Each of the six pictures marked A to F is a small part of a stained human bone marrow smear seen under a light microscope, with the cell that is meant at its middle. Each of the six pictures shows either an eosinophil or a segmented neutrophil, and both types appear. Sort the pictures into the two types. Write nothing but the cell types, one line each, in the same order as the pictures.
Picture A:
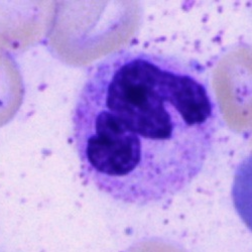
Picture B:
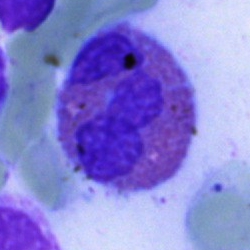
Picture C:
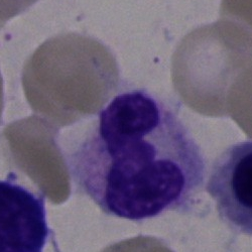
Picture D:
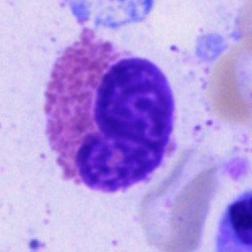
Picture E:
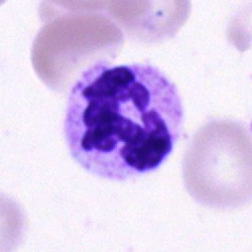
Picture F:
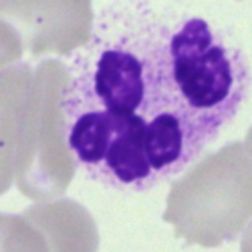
segmented neutrophil
eosinophil
segmented neutrophil
eosinophil
segmented neutrophil
segmented neutrophil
